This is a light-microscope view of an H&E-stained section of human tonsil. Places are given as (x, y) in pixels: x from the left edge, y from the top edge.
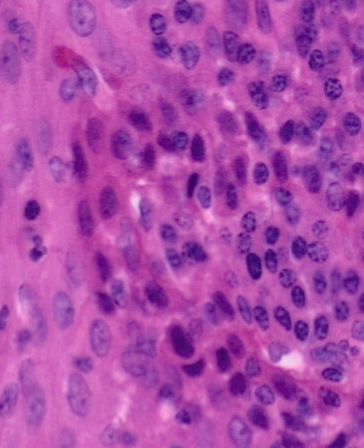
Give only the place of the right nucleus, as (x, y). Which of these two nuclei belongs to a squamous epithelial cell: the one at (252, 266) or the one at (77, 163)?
(77, 163)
